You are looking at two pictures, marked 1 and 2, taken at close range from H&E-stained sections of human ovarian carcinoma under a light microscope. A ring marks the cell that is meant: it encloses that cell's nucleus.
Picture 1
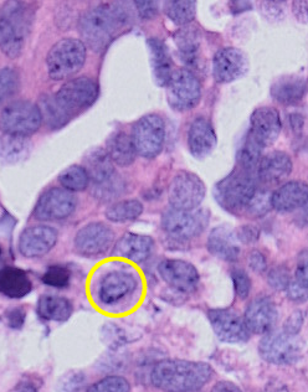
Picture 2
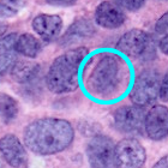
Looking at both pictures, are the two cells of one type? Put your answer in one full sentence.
No. Picture 1 shows a “macrophage or monocyte”, but picture 2 shows a carcinoma cell.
